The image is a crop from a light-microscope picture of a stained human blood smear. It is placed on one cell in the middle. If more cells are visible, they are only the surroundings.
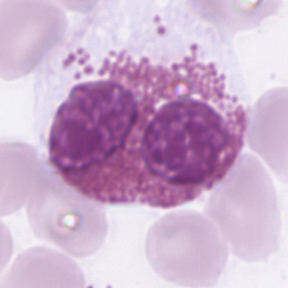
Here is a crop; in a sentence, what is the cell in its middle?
Within this crop, an eosinophil occupies the central position.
